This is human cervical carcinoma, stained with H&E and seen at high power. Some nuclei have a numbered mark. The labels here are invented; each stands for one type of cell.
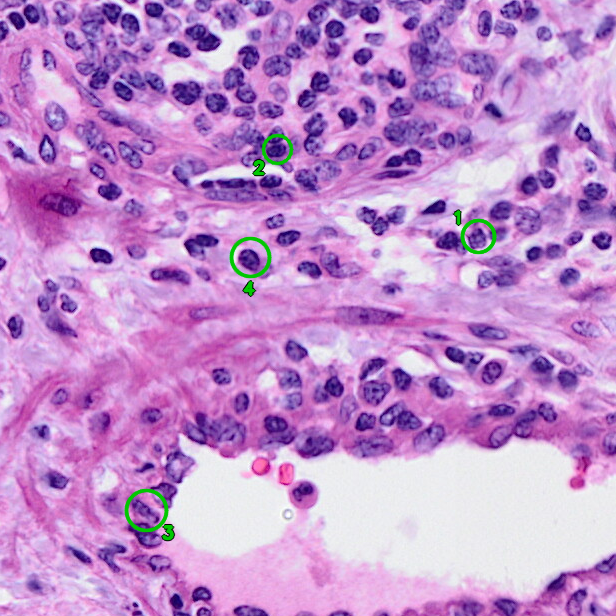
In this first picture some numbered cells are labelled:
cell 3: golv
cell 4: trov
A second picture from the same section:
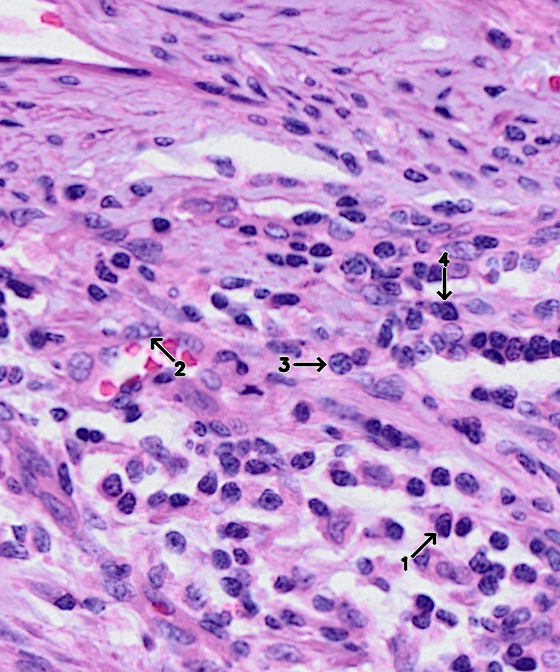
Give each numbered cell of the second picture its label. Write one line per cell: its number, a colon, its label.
1: trov
2: golv
3: trov
4: trov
